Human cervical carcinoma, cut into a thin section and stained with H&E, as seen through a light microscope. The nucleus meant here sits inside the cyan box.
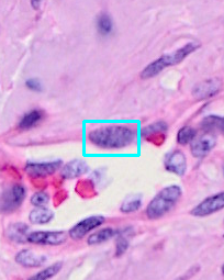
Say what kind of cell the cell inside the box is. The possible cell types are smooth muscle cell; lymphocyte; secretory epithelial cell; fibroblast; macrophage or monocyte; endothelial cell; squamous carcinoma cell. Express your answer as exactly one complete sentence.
In terms of identity, the cell inside the box is an endothelial cell.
